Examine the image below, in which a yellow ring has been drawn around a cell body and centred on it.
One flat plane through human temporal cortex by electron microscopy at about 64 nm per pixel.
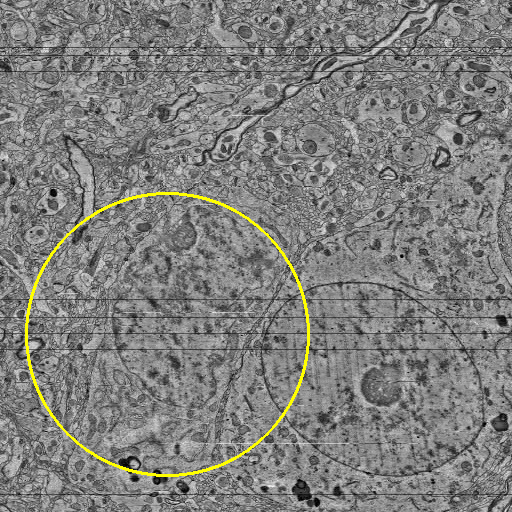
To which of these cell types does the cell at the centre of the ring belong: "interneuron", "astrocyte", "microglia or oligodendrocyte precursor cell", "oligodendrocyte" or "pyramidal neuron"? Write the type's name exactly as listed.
interneuron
